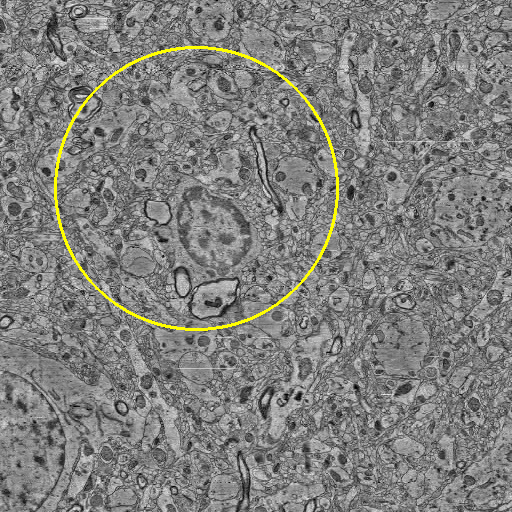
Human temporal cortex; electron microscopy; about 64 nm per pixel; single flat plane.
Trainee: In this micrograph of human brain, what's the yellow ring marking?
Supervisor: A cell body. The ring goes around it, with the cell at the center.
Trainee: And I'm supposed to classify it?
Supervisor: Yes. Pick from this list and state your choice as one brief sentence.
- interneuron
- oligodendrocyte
The cell at the ring's center is an oligodendrocyte.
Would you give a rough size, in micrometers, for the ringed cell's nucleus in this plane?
In this plane, the nucleus is roughly 6 by 4 micrometres.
